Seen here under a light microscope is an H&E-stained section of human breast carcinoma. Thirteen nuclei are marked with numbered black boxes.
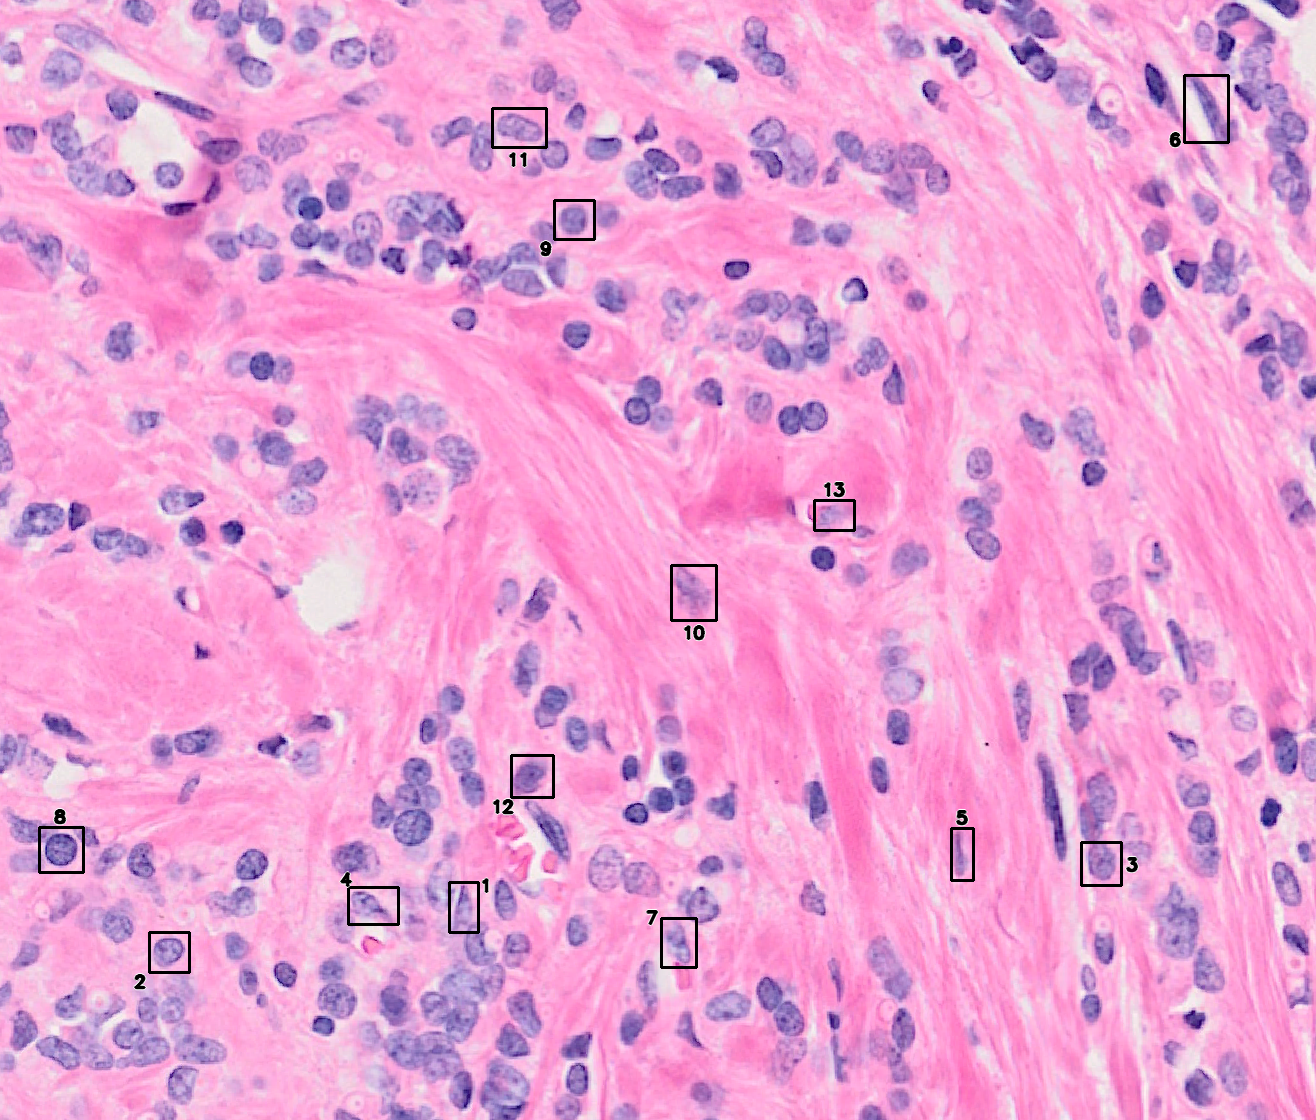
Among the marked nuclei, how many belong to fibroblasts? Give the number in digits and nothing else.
2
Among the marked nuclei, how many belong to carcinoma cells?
5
